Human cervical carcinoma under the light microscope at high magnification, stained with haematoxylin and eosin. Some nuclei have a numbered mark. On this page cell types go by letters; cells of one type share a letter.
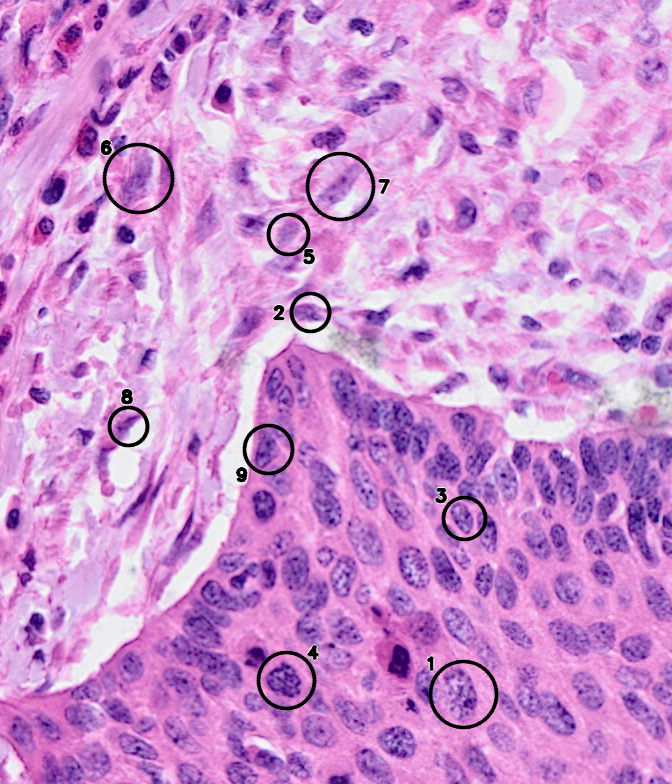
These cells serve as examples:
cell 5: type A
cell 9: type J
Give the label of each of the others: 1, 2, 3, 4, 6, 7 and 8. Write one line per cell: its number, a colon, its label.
1: type J
2: type A
3: type J
4: type J
6: type A
7: type A
8: type A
